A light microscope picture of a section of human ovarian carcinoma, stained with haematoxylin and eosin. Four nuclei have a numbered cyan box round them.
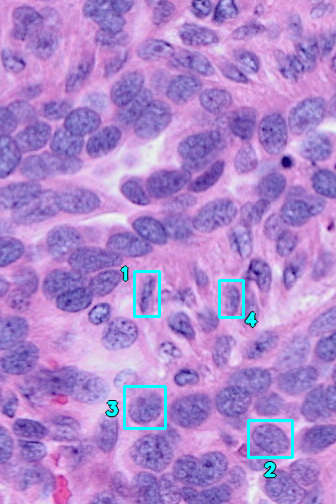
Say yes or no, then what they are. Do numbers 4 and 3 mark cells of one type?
No, a fibroblast is what cell 4 is, and a carcinoma cell is what cell 3 is.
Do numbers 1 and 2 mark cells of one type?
No, the cell tagged 1 is a fibroblast, whereas the cell tagged 2 is a carcinoma cell.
